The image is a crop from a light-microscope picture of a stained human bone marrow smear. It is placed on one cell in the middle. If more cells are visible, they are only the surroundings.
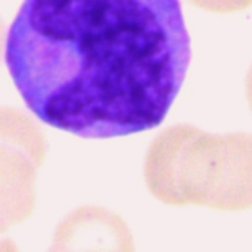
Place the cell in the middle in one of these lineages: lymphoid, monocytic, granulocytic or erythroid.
monocytic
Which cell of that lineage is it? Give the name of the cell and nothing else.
monocyte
